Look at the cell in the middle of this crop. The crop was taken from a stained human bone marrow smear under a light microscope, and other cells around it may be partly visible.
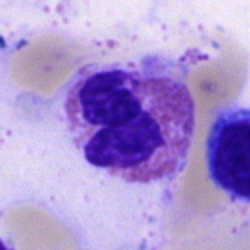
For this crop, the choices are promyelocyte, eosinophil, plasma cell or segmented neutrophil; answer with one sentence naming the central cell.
What the crop centres on is an eosinophil.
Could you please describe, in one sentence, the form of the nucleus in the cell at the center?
What stands out is the nucleus, split into two or more lobes.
